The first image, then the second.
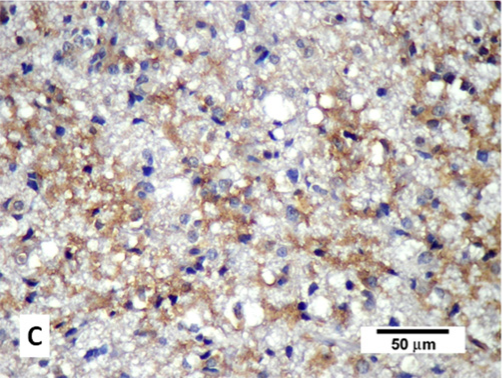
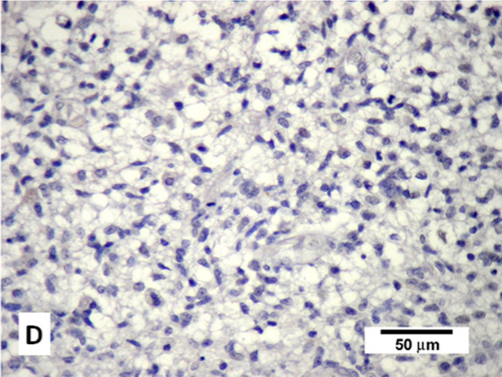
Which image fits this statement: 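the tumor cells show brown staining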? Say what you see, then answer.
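Second image: only blue nuclei on a pale, clear background, no brown. First image: patchy brown granular colour among the tumor cells. On this evidence: the first image.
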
